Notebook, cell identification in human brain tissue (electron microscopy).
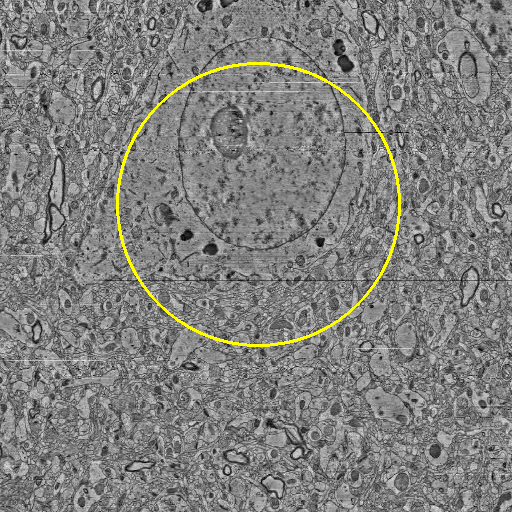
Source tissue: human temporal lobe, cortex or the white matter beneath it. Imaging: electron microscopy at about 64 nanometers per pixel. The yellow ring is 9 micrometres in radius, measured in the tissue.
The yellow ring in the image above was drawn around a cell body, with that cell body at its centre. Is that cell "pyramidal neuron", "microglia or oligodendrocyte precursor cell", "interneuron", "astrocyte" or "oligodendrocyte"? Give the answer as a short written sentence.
The cell in the ring is a pyramidal neuron.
